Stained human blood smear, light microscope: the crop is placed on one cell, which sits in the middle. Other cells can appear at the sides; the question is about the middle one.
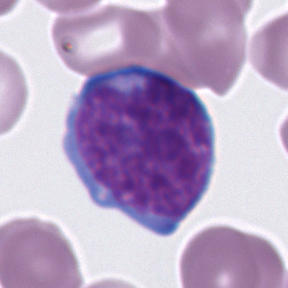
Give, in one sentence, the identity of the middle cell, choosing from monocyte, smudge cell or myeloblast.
The crop's centre is taken up by a myeloblast.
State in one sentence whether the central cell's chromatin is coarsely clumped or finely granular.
The chromatin of this one is coarsely clumped.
